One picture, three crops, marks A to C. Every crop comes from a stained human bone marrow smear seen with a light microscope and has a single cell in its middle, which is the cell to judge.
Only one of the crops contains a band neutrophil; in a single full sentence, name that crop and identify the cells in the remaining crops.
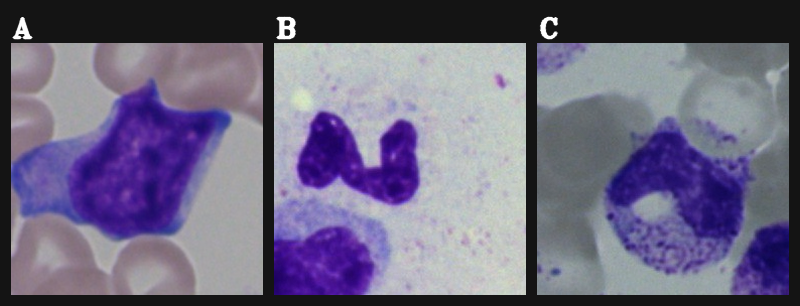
Here crop C shows a band neutrophil, while crop A is a blast and crop B is a segmented neutrophil.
